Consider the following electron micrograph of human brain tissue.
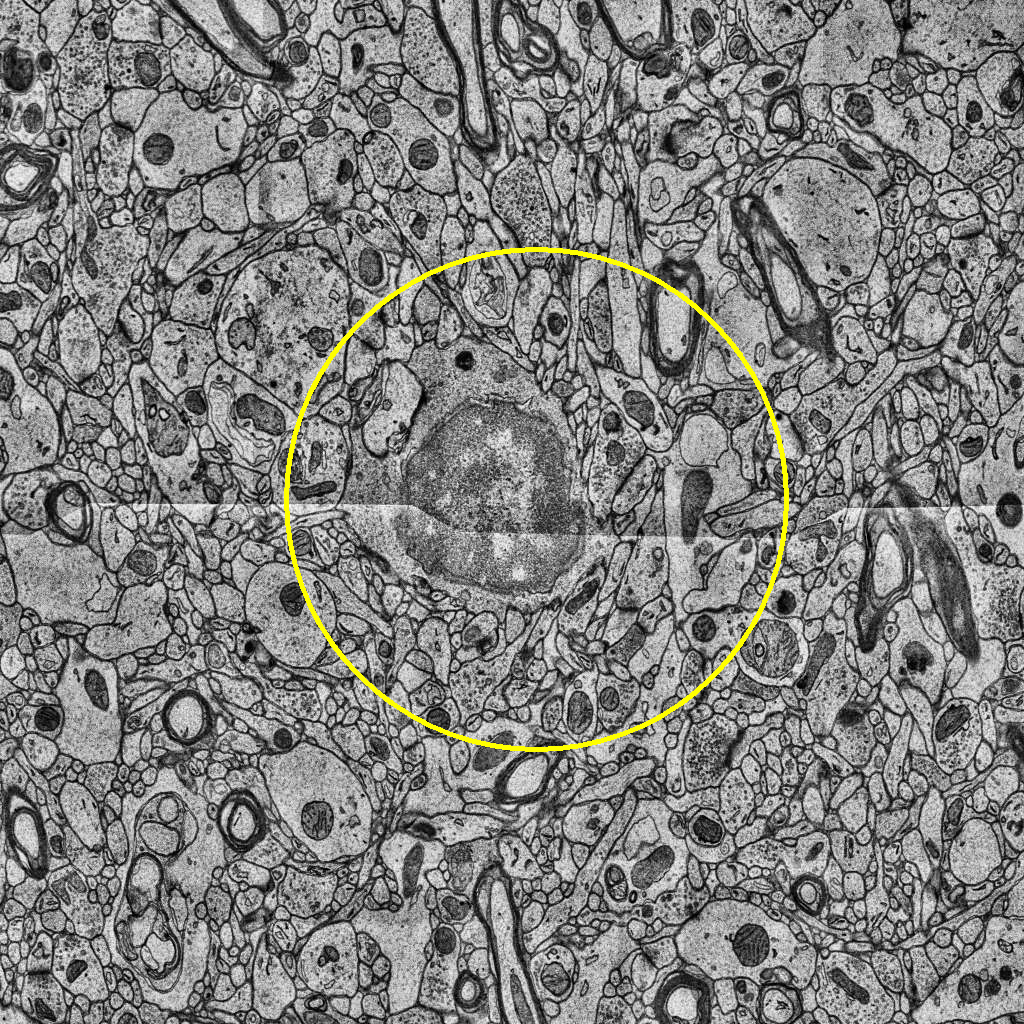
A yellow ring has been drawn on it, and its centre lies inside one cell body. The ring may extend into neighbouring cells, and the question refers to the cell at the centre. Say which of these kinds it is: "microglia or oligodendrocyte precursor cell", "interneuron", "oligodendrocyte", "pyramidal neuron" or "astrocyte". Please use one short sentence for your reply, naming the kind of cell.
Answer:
The centre of the ring falls on an oligodendrocyte.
